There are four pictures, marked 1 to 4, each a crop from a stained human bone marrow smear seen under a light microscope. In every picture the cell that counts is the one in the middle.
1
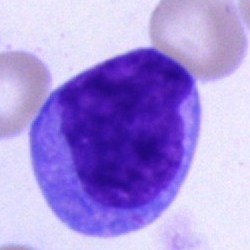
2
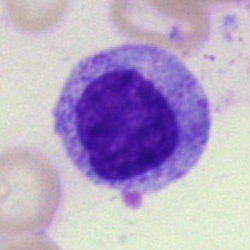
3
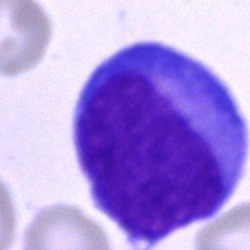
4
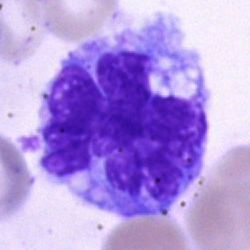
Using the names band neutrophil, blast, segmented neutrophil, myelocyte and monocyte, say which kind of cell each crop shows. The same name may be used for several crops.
1: blast
2: myelocyte
3: blast
4: monocyte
